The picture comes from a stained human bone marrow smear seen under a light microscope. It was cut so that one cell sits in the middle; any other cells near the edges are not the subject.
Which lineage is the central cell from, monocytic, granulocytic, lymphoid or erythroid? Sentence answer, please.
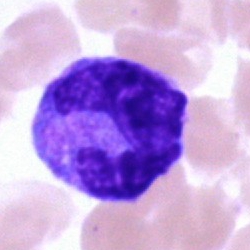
Our central cell here is part of the monocytic lineage.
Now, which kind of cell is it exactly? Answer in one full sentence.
In this crop, the cell at the very middle is a monocyte.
